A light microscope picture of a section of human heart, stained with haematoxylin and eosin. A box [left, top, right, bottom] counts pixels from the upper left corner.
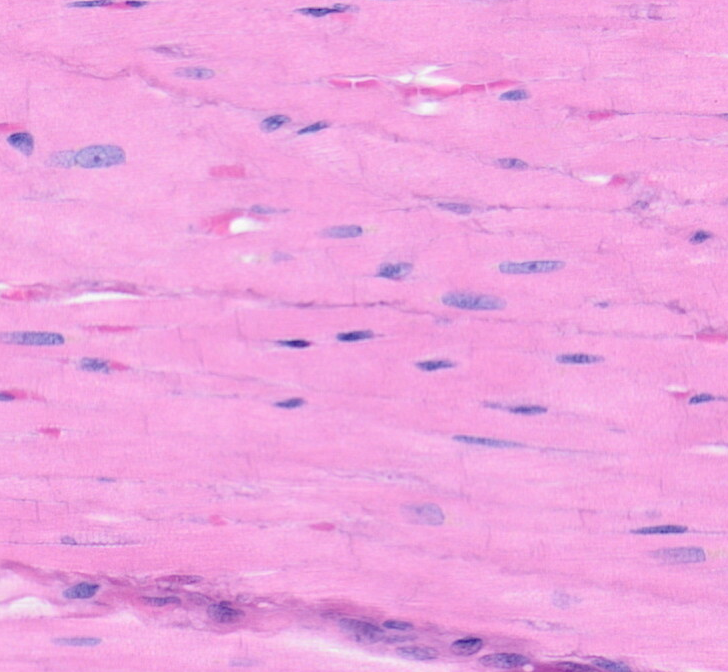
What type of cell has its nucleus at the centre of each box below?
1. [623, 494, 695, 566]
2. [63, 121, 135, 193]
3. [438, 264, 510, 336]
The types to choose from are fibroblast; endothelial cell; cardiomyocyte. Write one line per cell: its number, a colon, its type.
1: endothelial cell
2: cardiomyocyte
3: cardiomyocyte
